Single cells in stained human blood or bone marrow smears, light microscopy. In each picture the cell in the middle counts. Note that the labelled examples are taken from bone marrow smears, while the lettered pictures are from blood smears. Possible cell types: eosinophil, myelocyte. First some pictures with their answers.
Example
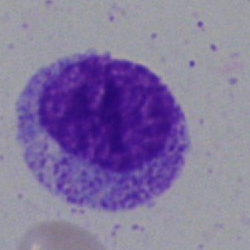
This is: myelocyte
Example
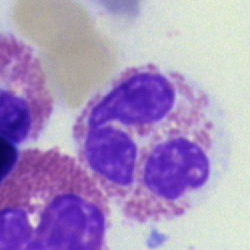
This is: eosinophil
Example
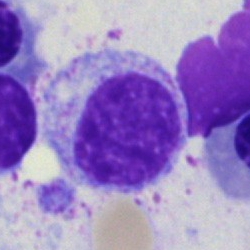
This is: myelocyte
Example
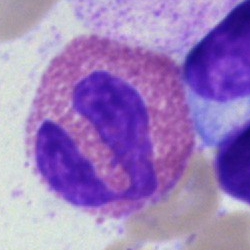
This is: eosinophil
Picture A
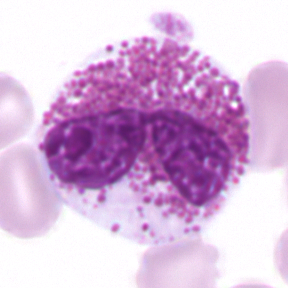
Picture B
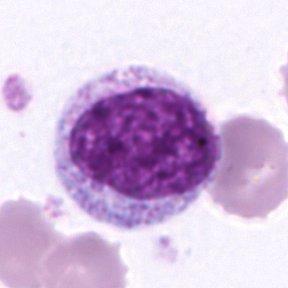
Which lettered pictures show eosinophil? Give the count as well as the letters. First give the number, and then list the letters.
1, namely A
